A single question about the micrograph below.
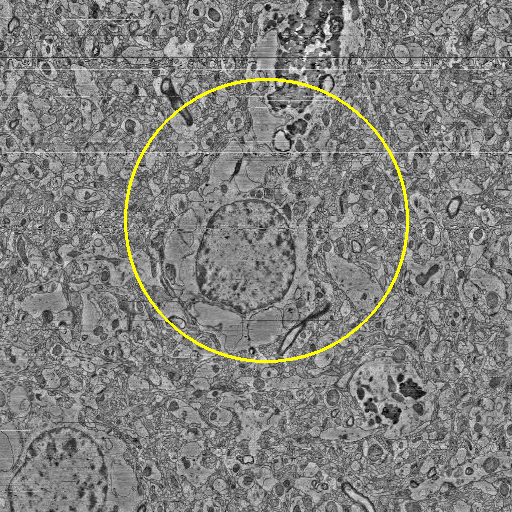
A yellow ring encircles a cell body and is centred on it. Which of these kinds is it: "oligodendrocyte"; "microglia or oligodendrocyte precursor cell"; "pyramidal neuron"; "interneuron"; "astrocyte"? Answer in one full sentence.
The cell body at the centre of the yellow ring belongs to an astrocyte.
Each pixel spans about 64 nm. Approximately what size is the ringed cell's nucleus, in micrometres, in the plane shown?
In this plane, about 8 micrometres in length and 6 in width.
